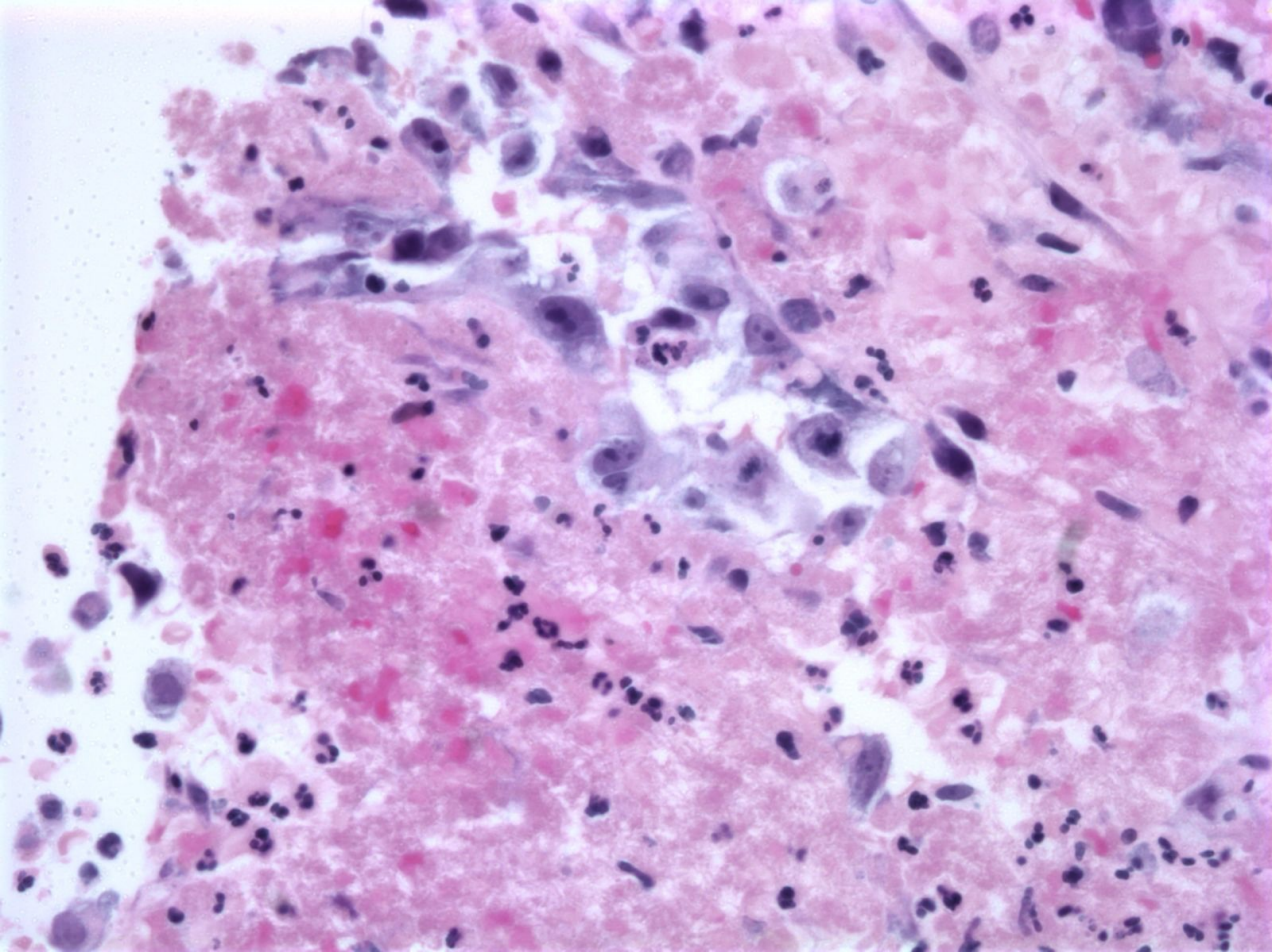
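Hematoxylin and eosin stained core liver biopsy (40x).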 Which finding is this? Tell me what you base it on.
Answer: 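Large cells with enlarged, hyperchromatic, irregular nuclei. Nuclei vary markedly in size and shape. Atypical cells lie along cleft-like spaces in the upper middle.
Hence: highly atypical and pleomorphic cells.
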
